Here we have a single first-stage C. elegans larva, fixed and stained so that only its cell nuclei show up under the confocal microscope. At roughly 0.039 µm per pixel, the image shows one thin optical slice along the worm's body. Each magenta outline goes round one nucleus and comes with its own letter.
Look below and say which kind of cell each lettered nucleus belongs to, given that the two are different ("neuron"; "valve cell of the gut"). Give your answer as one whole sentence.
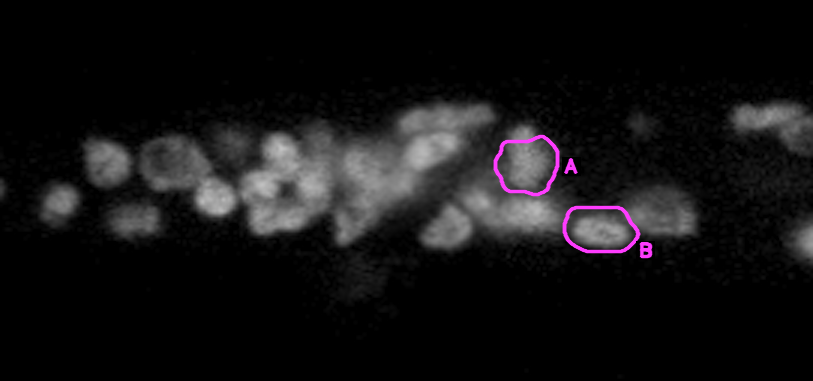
B belongs to a neuron, and A to a valve cell of the gut.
